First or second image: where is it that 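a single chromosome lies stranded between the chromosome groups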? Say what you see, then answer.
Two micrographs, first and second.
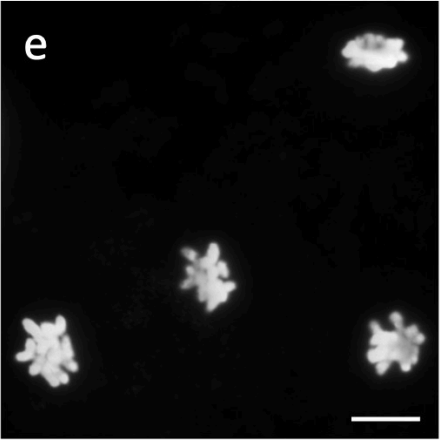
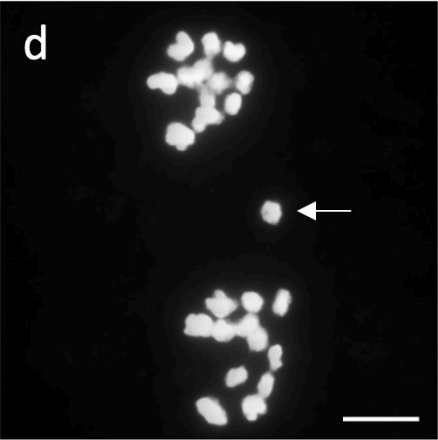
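First image: the chromosome clusters are compact with nothing lying between them. Second image: one small chromosome lies alone midway between two chromosome groups.
Answer: the second image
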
